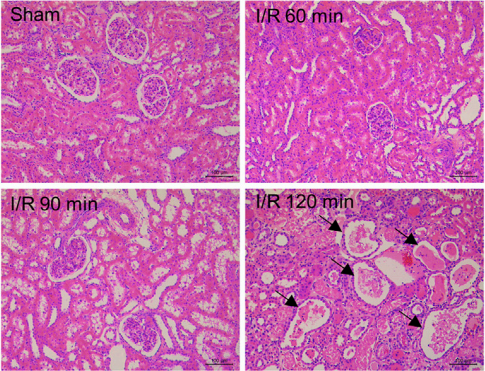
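These are sections of kidney cortex, with round glomeruli set among closely packed renal tubules lined by pink-staining epithelium with blue nuclei. In the fourth, marked by arrows, many tubules are dilated, have a thin, flattened lining, and hold pink casts and cell debris in their lumens.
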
